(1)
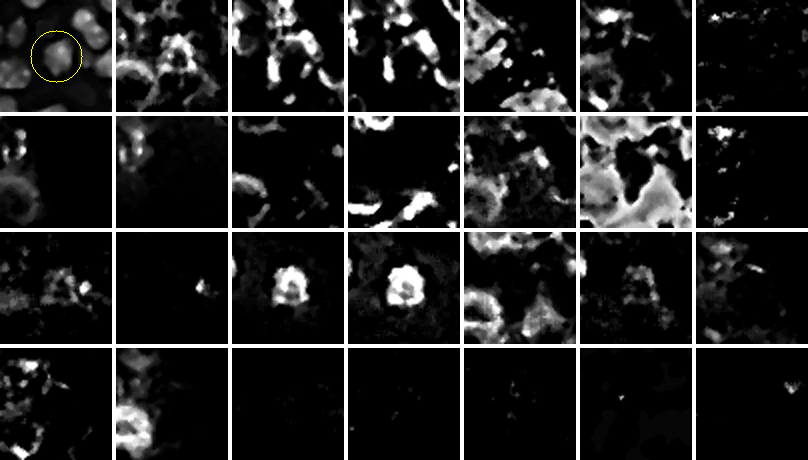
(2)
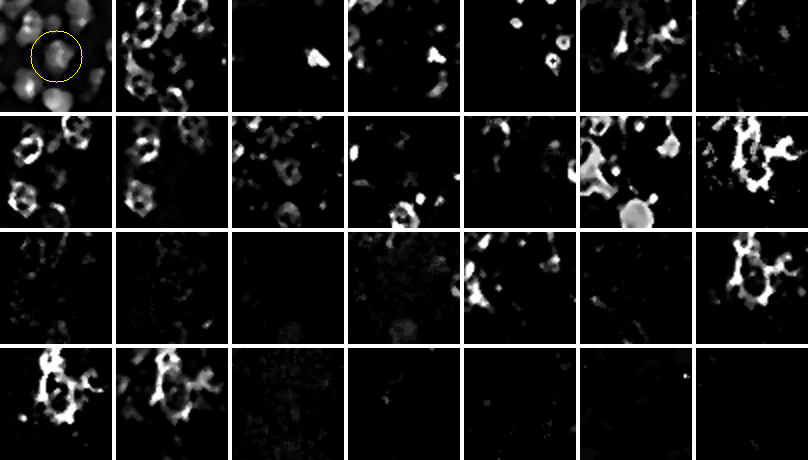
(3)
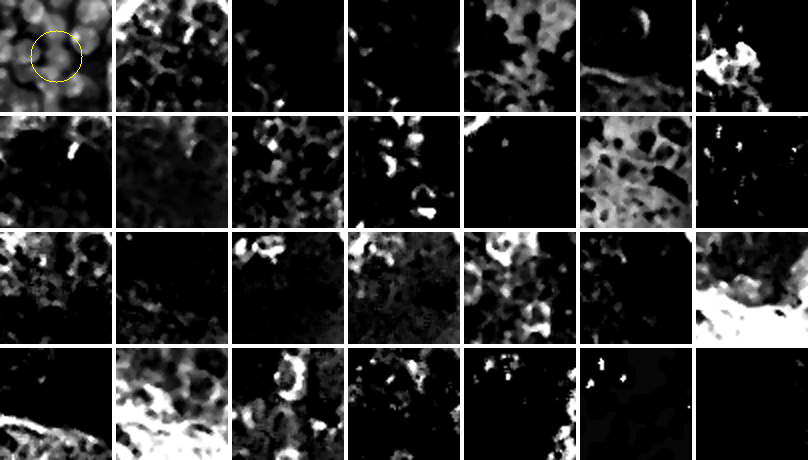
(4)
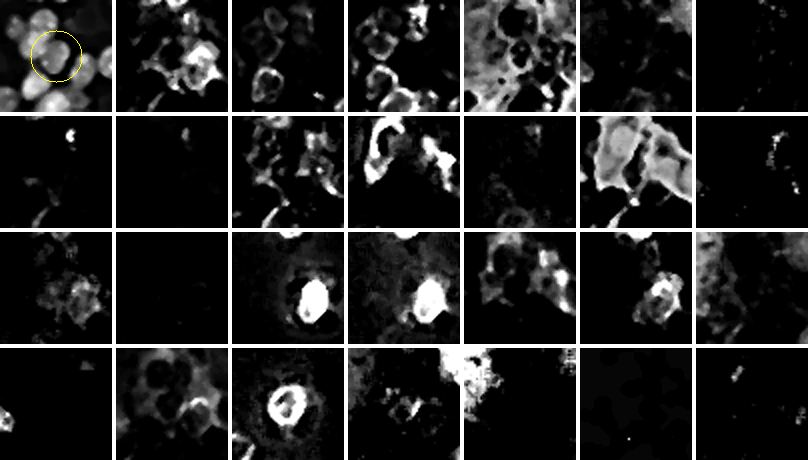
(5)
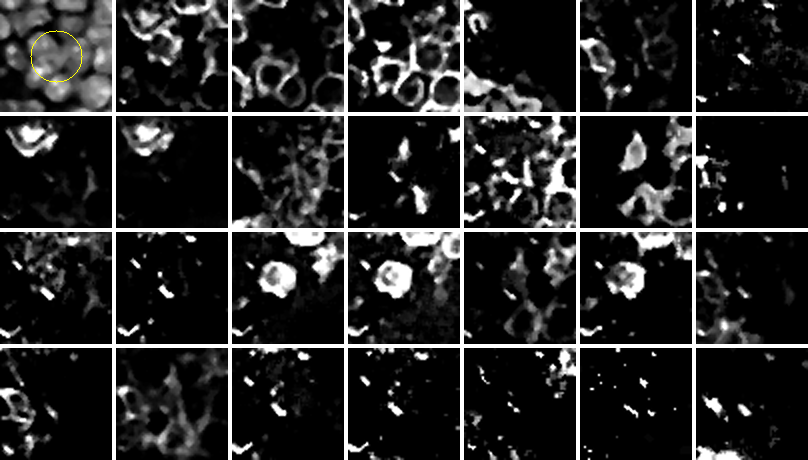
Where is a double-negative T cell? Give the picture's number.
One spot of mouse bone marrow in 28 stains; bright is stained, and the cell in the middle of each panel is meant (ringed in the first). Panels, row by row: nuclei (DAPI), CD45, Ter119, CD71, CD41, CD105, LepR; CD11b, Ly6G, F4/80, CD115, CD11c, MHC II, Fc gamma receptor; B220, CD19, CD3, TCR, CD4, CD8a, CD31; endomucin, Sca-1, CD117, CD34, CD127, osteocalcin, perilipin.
1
